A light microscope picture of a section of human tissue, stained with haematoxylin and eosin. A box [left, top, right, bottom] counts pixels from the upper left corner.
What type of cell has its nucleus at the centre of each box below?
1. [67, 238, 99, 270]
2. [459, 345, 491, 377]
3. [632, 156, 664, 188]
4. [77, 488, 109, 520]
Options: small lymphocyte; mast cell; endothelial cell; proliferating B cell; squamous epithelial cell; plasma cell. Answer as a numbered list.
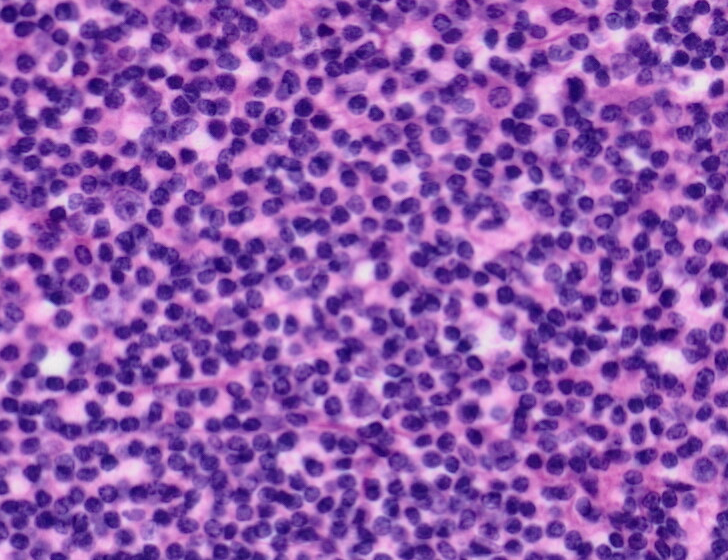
1. plasma cell
2. small lymphocyte
3. small lymphocyte
4. small lymphocyte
